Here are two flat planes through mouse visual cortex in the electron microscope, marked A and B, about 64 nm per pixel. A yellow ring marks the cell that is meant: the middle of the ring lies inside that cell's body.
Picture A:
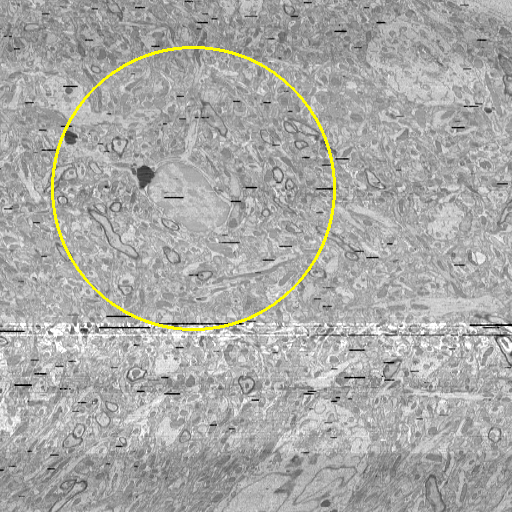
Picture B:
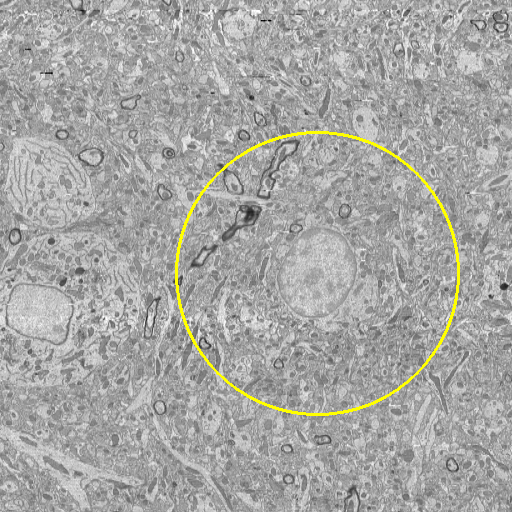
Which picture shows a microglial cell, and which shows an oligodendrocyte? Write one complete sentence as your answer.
Picture B shows an oligodendrocyte, while picture A shows a microglial cell.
